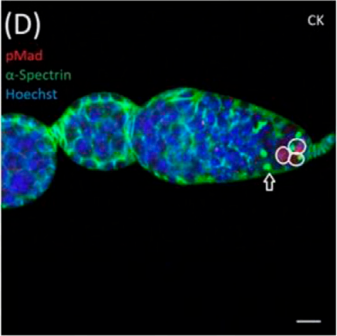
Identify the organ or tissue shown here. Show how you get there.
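A narrow tip region lies at the right end of the chain. Each egg chamber holds many blue nuclei outlined in green.
Answer: ovariole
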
